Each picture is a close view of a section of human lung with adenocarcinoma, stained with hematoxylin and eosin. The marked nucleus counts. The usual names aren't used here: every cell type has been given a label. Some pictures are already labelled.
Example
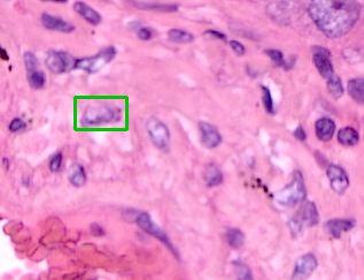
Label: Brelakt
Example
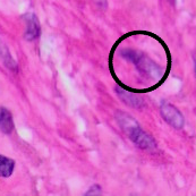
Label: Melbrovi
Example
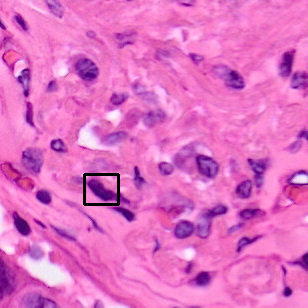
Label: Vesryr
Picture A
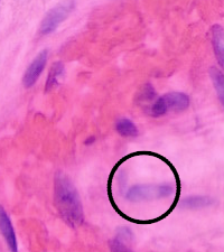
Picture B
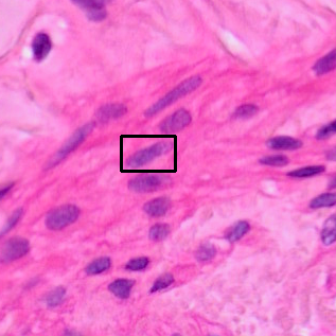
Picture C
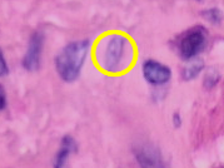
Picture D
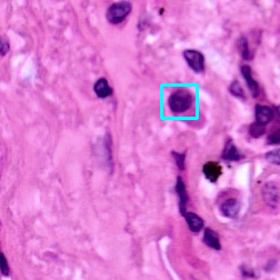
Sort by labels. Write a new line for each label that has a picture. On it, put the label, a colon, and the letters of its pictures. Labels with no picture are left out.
Brelakt: C
Melbrovi: A, B
Vesryr: D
